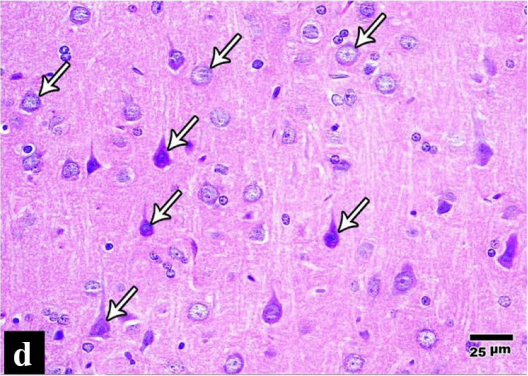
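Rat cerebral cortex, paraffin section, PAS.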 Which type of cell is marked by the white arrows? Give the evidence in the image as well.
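Pyramidal and granular cells. Some arrowed cells are triangular with an apical process and magenta cytoplasm. Other arrowed cells are small and round with a pale round nucleus.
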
